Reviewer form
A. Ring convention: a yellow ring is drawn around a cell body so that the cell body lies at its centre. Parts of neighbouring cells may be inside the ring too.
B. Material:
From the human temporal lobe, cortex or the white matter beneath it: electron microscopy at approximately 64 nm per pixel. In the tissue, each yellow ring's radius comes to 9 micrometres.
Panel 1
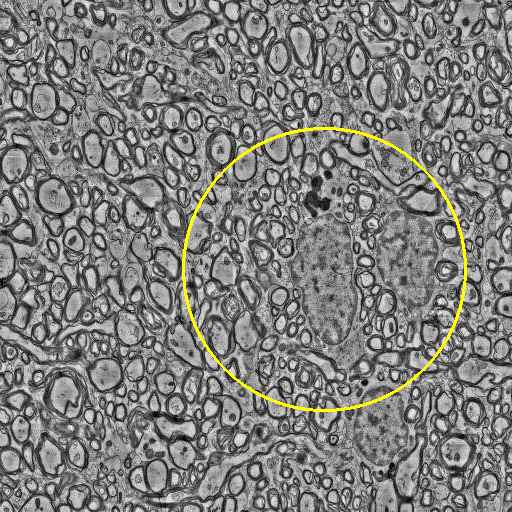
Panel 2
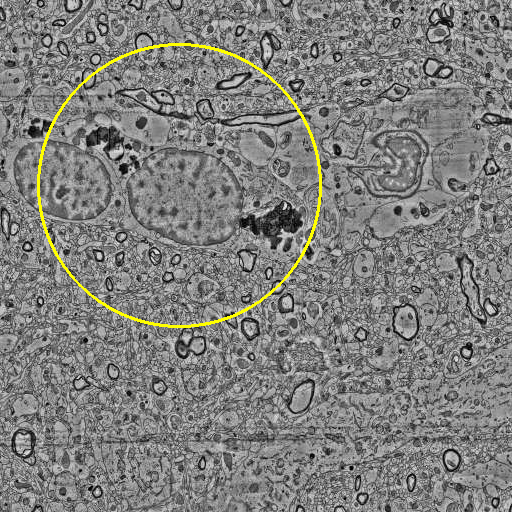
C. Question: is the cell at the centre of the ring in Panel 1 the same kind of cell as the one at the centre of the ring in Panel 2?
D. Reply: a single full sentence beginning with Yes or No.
Yes, the cells in Panel 1 and Panel 2 are the same kind of cell.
